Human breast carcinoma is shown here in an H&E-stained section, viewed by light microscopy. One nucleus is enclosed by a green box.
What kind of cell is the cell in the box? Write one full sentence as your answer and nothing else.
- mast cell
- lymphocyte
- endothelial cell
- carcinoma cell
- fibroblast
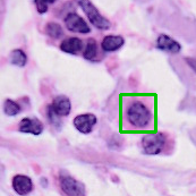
In this section, the cell in the box is a mast cell.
